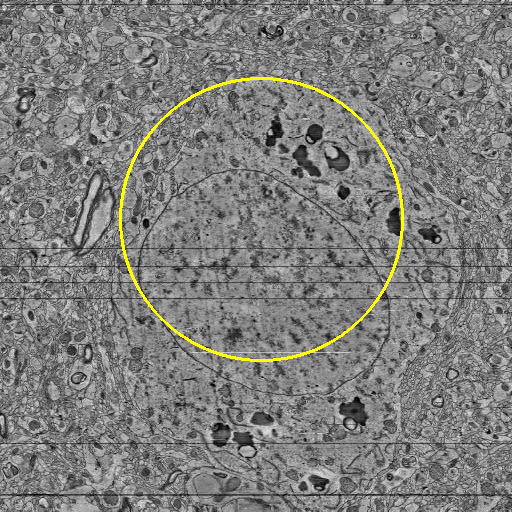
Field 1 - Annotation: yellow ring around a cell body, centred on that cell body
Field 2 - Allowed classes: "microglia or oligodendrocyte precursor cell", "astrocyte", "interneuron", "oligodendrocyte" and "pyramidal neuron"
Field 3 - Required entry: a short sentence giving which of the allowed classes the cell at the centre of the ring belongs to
The centred cell is a pyramidal neuron.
